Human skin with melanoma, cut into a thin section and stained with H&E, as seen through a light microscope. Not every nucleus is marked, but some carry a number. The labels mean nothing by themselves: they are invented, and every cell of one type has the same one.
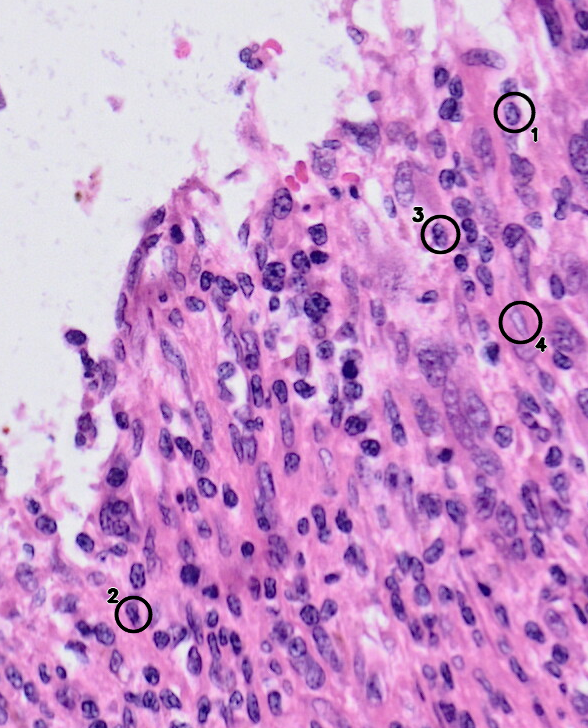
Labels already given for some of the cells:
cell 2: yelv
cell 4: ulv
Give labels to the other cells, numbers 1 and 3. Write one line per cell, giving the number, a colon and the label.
1: yelv
3: yelv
